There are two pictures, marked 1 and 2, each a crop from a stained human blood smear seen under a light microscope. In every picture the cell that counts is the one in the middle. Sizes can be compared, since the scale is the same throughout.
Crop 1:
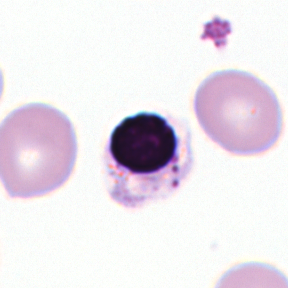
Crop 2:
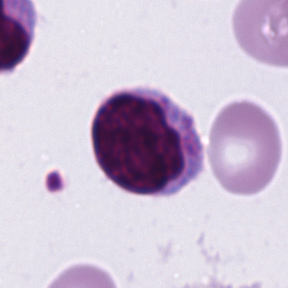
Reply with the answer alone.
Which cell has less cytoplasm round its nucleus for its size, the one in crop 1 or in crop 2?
2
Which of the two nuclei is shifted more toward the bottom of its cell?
2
